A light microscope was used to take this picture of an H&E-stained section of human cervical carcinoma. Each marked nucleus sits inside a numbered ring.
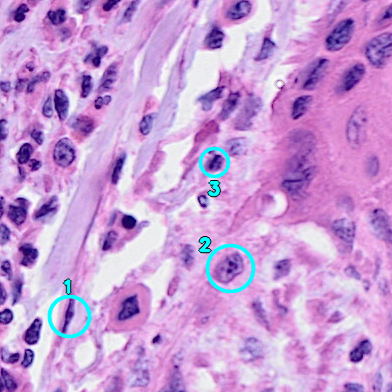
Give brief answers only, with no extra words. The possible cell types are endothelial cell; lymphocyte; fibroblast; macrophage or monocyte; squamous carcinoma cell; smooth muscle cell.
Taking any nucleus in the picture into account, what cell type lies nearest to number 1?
lymphocyte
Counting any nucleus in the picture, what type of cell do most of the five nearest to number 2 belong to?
fibroblast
